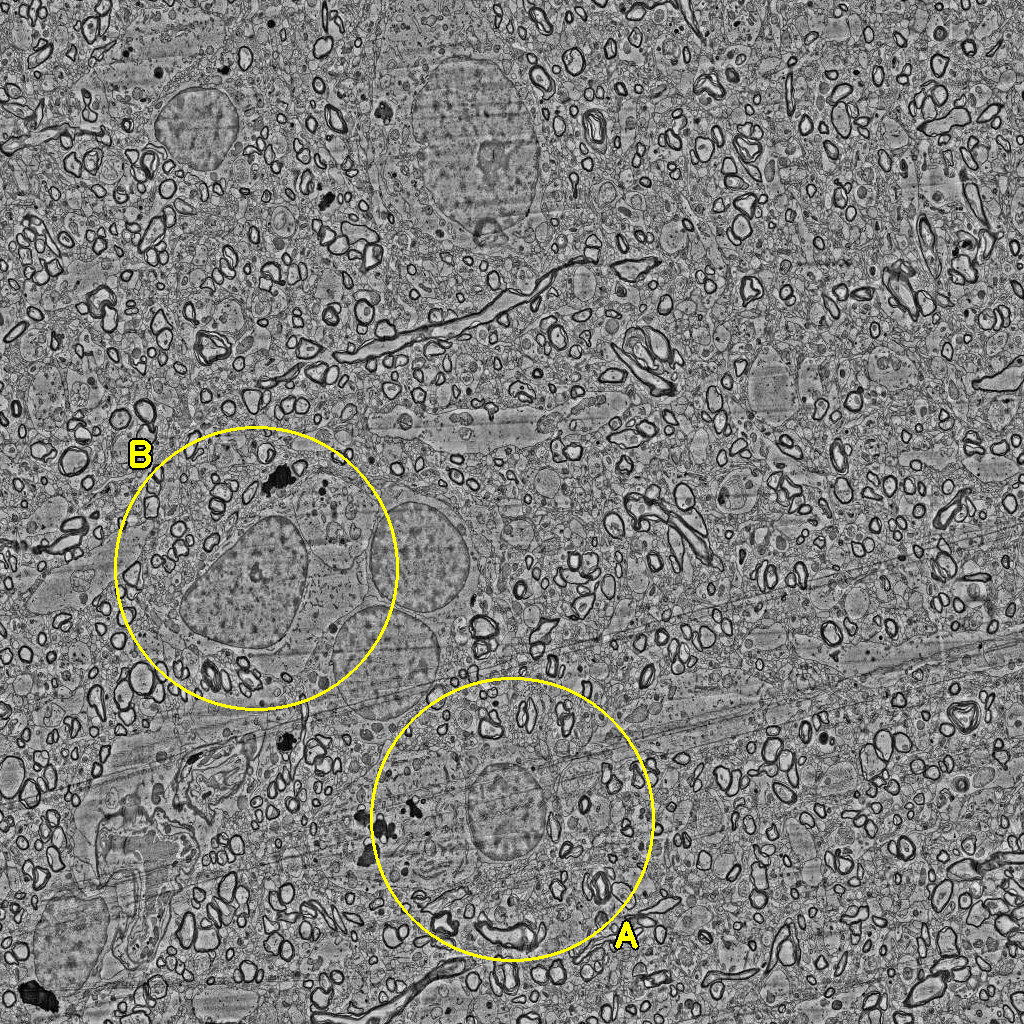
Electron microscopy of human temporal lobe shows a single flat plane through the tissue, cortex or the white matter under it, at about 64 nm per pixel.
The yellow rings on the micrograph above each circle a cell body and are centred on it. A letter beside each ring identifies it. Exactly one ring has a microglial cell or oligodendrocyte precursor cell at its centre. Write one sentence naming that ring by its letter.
Ring B is the one.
